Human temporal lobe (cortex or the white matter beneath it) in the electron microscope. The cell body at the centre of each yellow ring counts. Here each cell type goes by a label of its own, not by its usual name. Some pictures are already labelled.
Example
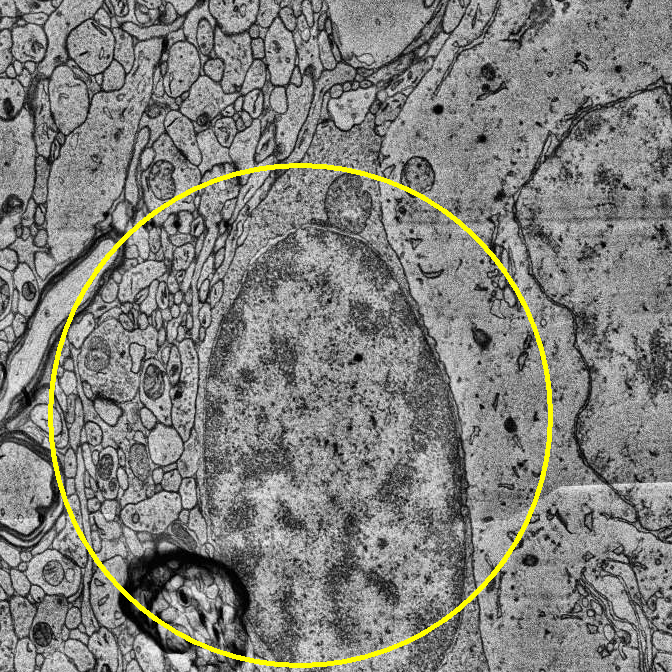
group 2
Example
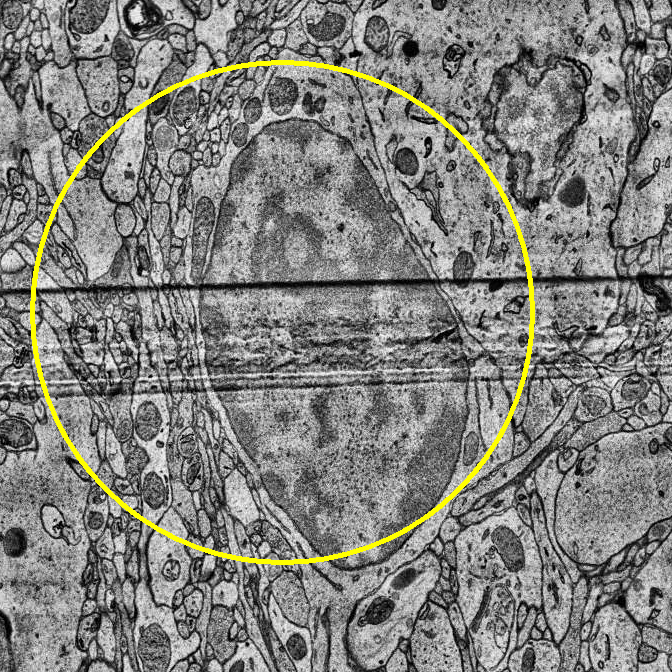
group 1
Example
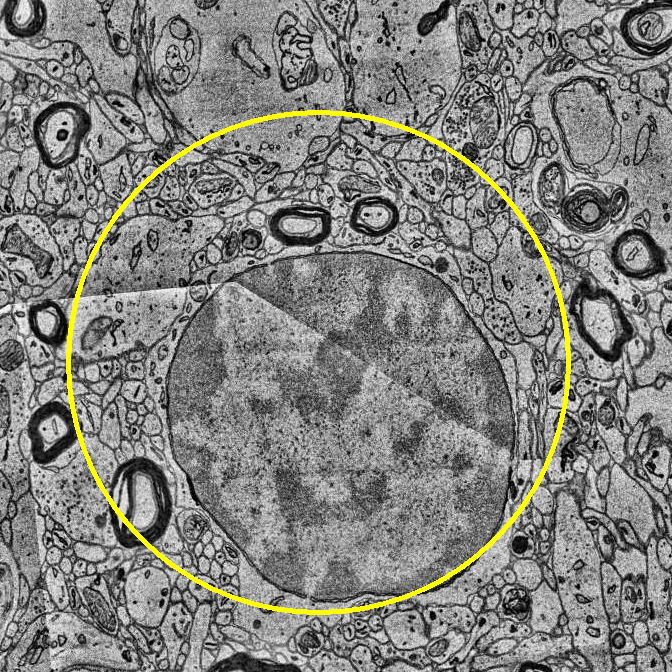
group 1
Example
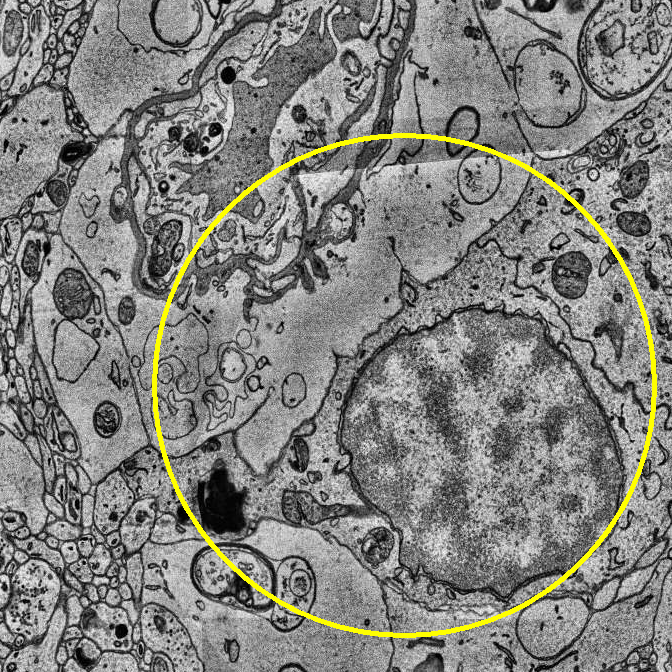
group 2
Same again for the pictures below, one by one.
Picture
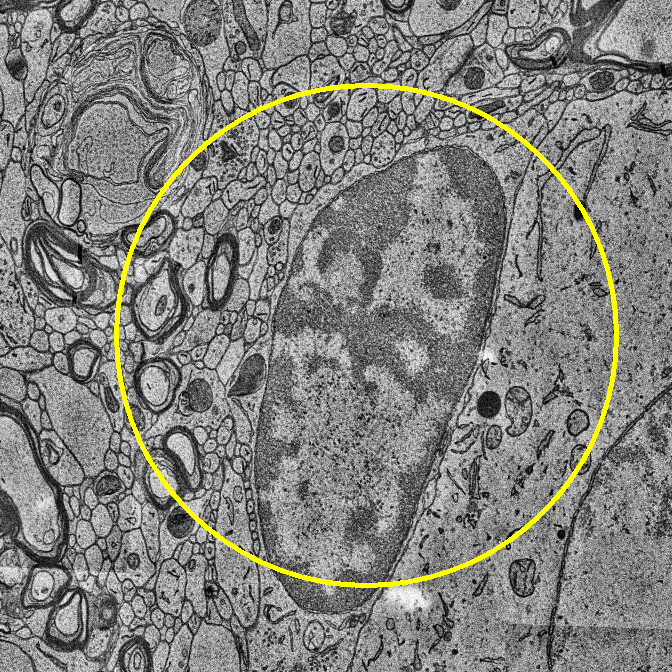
group 1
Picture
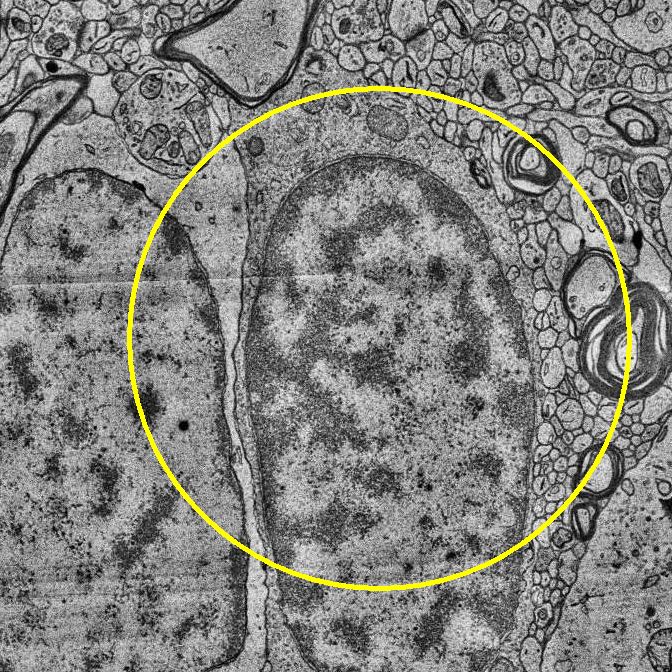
group 2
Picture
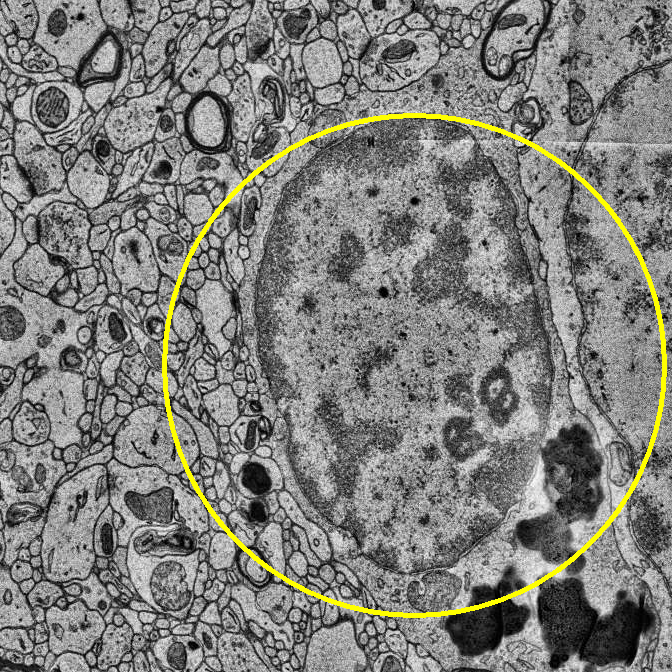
group 2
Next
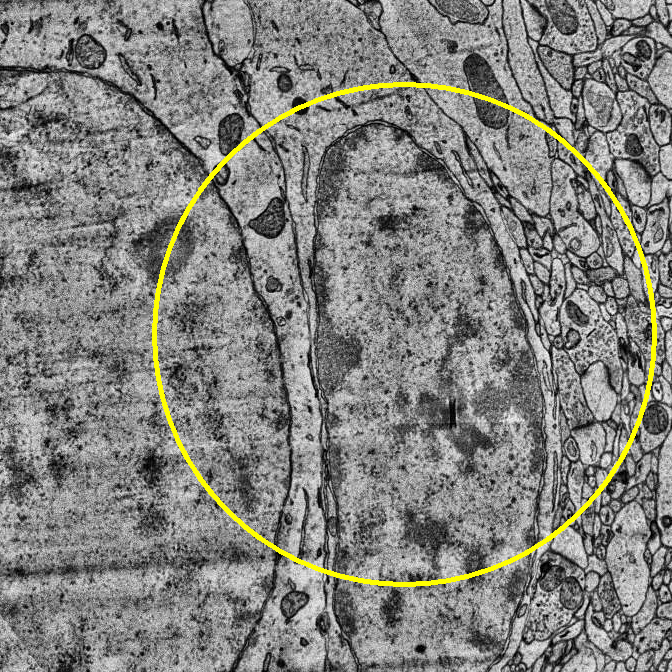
group 1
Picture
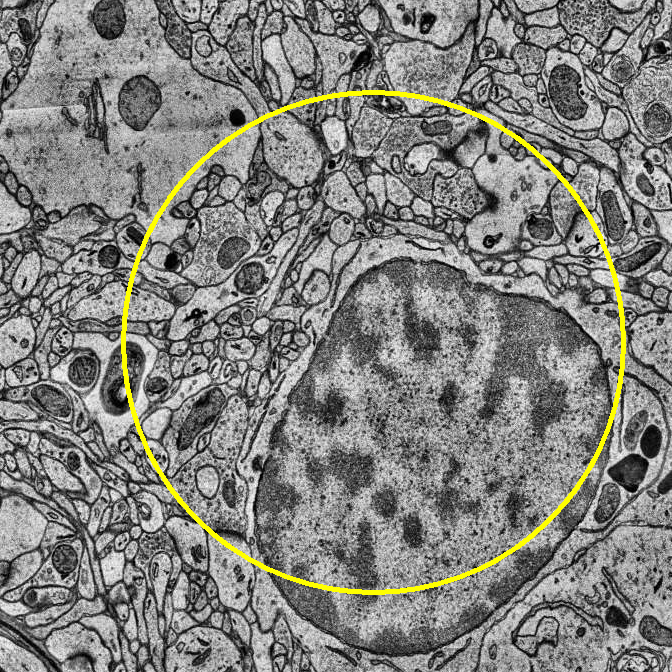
group 1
